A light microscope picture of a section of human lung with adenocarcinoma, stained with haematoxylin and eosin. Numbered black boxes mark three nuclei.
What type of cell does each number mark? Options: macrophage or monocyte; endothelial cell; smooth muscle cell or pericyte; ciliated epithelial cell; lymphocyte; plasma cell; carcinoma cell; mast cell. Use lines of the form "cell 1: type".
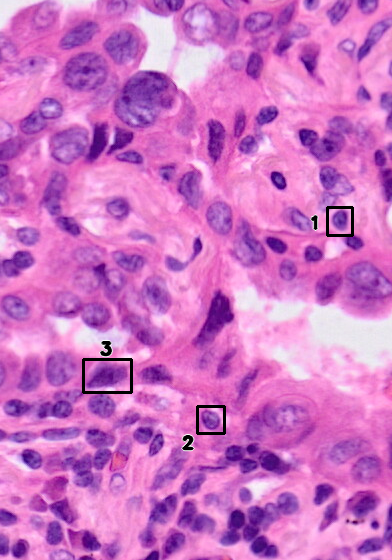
cell 1: lymphocyte
cell 2: lymphocyte
cell 3: carcinoma cell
